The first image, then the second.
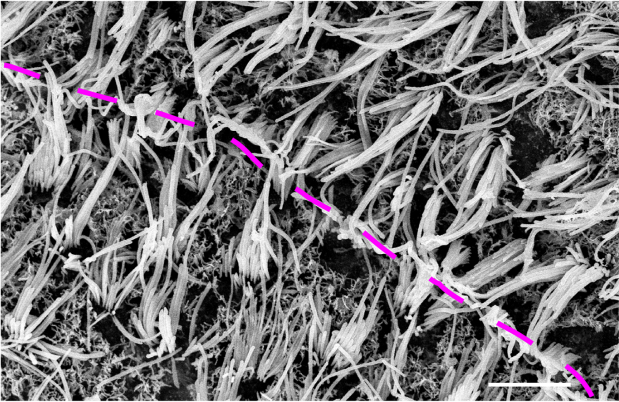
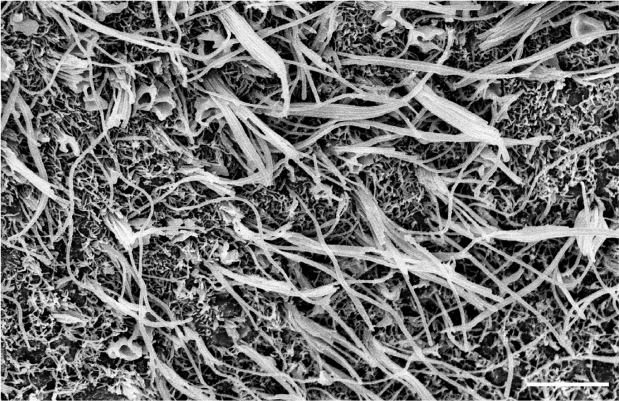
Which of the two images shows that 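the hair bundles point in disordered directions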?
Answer: the second image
